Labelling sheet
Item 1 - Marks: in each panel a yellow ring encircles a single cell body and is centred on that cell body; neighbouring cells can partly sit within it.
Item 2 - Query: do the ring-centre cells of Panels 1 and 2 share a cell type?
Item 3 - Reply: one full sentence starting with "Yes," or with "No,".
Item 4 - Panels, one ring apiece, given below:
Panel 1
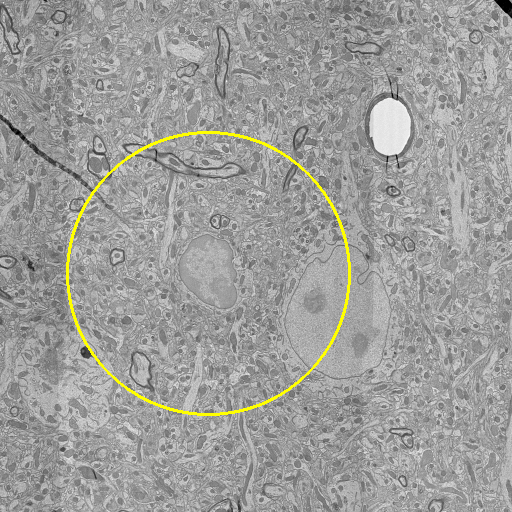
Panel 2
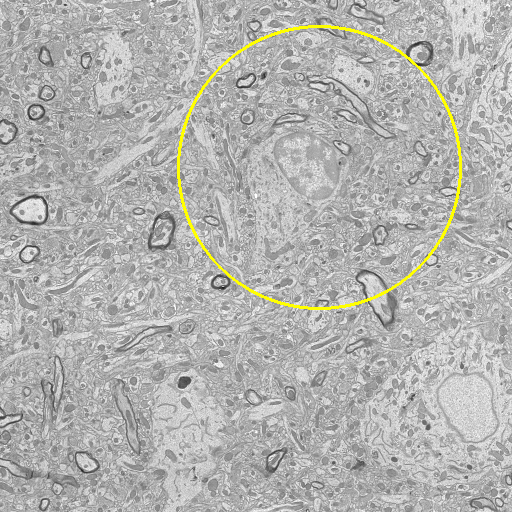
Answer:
No, Panel 1 and Panel 2 show two cell types at the centres of their rings.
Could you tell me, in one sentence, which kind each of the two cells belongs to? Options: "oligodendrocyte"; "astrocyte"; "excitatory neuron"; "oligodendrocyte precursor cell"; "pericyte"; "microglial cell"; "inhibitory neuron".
At the centre of the first ring sits a microglial cell, and at the centre of the second sits an oligodendrocyte.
